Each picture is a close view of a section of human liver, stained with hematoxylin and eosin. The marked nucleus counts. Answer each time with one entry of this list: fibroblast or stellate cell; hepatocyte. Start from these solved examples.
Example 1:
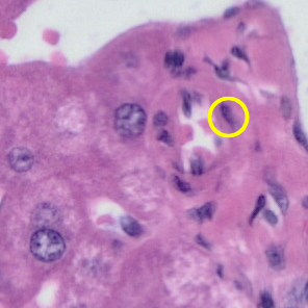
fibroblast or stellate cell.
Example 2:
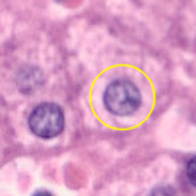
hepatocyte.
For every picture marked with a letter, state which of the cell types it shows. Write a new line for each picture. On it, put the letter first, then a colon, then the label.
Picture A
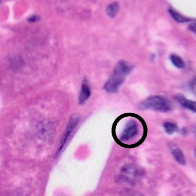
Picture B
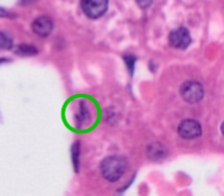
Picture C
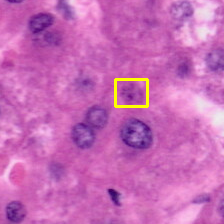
A: fibroblast or stellate cell.
B: fibroblast or stellate cell.
C: hepatocyte.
